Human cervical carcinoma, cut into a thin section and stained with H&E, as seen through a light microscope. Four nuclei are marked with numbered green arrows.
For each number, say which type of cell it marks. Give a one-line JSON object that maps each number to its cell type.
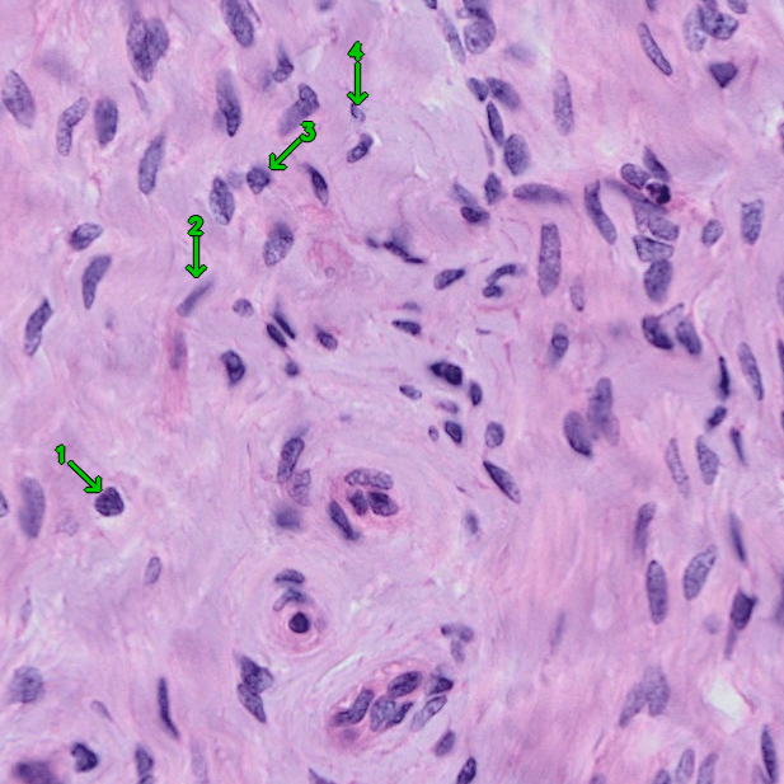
{"1": "lymphocyte", "2": "fibroblast", "3": "fibroblast", "4": "fibroblast"}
